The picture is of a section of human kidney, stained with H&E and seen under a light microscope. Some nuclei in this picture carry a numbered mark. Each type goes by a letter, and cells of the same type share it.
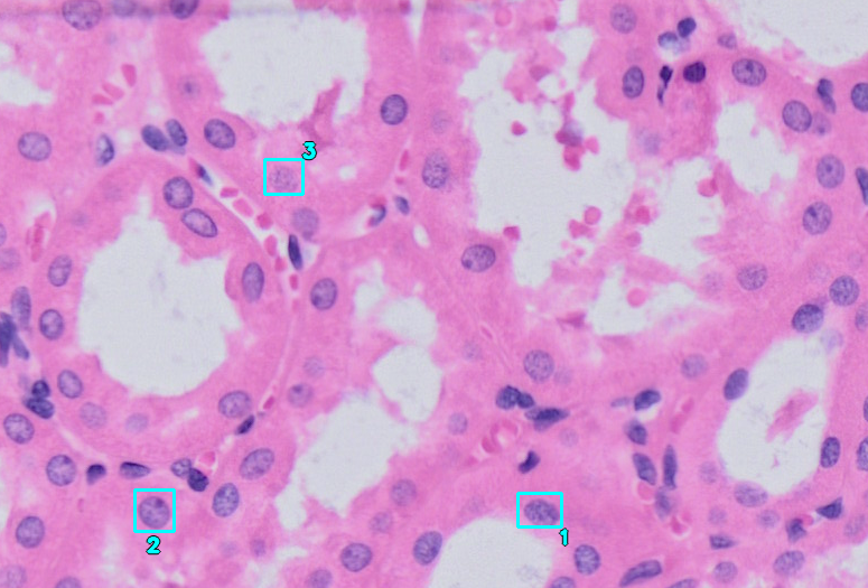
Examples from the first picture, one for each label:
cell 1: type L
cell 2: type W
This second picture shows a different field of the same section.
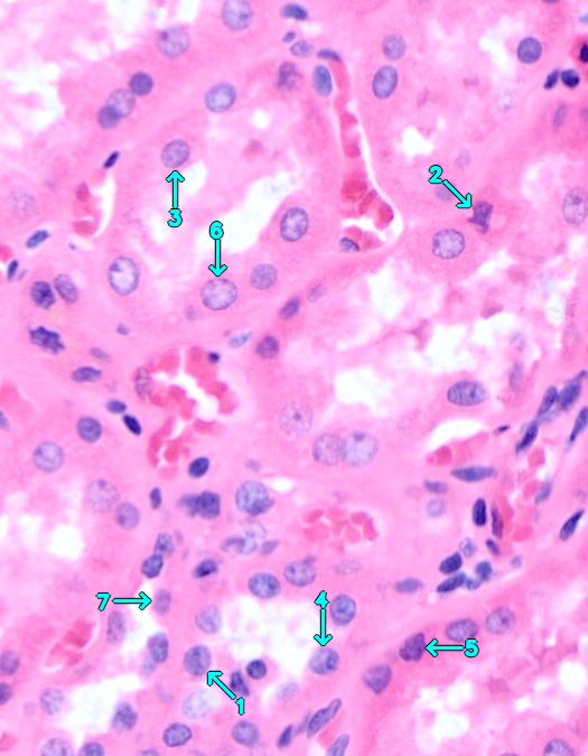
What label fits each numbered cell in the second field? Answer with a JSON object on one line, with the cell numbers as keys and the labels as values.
{"1": "type L", "2": "type W", "3": "type W", "4": "type L", "5": "type W", "6": "type W", "7": "type L"}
